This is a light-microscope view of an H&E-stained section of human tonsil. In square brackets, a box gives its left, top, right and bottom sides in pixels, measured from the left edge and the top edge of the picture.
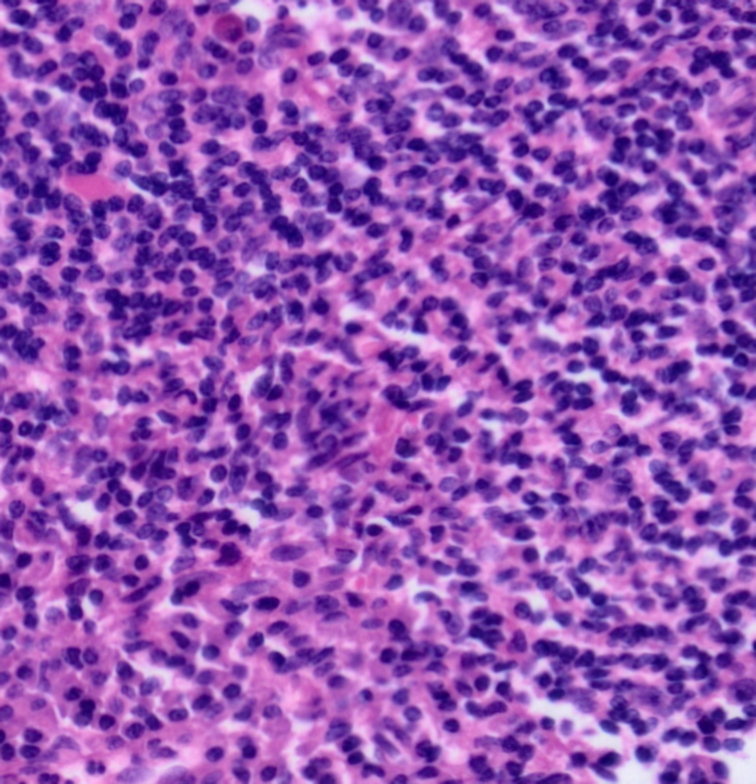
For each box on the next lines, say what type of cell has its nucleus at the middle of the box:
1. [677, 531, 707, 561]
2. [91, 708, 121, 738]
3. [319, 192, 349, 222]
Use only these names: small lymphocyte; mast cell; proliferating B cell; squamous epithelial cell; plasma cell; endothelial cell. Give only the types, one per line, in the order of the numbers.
small lymphocyte
plasma cell
small lymphocyte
